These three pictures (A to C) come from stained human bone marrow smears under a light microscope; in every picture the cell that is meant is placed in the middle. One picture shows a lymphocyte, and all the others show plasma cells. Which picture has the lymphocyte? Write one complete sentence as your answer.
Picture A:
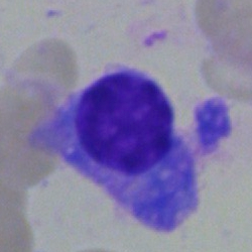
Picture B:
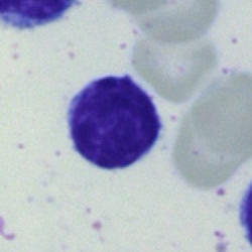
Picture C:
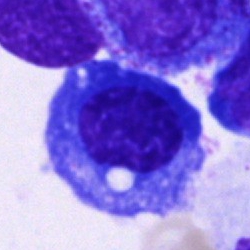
It is picture B that shows the lymphocyte.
